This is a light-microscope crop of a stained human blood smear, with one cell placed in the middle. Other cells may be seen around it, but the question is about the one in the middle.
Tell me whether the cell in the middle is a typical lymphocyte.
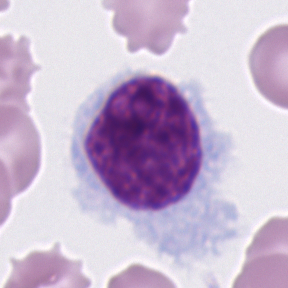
no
